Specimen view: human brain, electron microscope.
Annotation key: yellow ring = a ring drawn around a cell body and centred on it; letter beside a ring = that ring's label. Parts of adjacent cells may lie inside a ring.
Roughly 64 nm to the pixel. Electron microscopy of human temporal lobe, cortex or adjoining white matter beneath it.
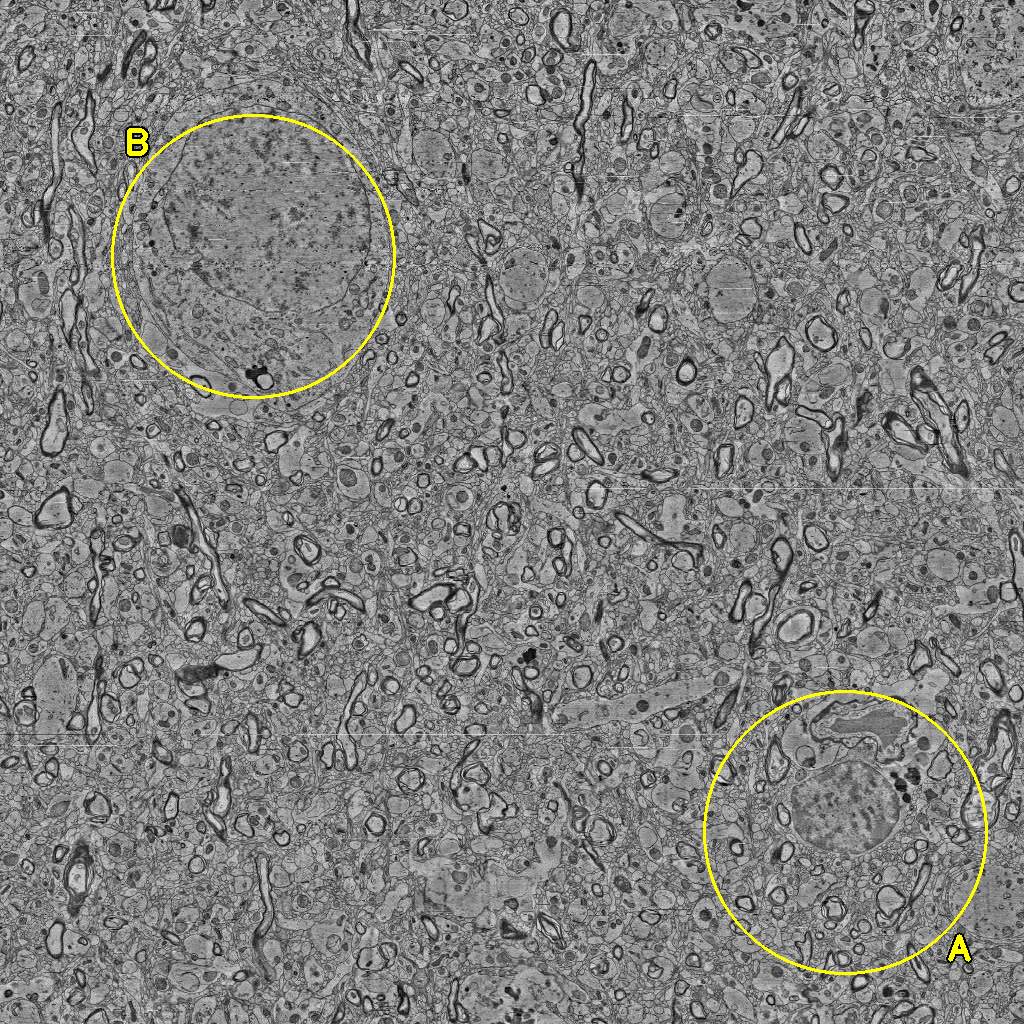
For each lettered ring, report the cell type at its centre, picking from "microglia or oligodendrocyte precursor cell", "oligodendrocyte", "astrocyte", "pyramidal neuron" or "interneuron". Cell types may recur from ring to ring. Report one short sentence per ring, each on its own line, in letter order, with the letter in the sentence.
The cell at the centre of ring A is an oligodendrocyte.
The cell at the centre of ring B is a pyramidal neuron.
